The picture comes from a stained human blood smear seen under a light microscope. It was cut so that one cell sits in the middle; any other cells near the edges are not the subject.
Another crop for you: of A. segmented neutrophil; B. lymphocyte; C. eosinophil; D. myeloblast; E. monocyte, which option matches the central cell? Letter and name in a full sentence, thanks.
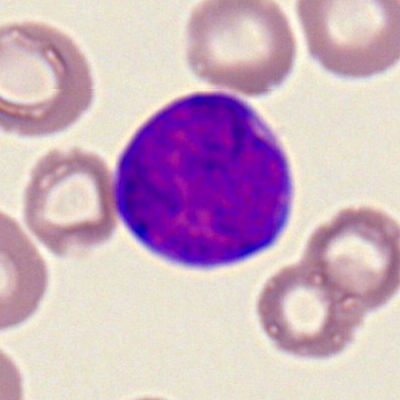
Option D is correct in that the central cell is a myeloblast.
